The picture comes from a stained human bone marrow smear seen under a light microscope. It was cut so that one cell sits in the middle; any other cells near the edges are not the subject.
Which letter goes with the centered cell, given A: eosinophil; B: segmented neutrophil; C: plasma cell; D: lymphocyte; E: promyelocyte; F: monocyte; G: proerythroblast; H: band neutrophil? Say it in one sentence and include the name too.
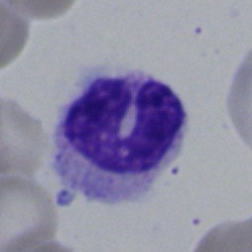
Identified correctly by option H, the cell in the middle is a band neutrophil.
